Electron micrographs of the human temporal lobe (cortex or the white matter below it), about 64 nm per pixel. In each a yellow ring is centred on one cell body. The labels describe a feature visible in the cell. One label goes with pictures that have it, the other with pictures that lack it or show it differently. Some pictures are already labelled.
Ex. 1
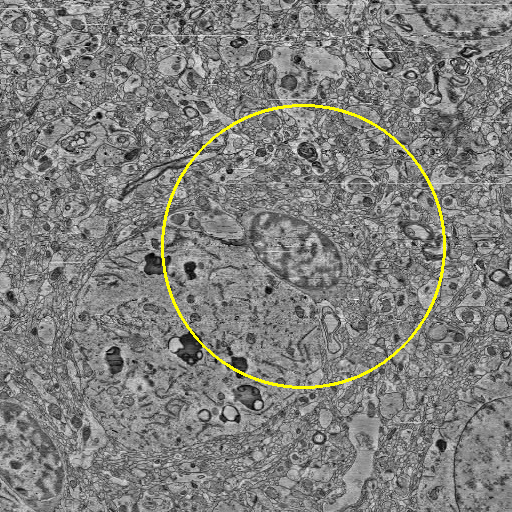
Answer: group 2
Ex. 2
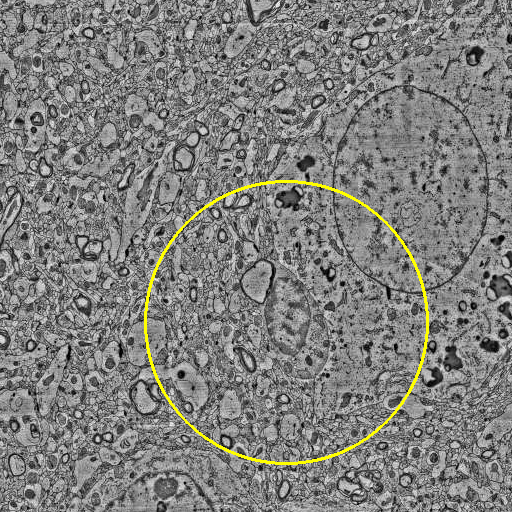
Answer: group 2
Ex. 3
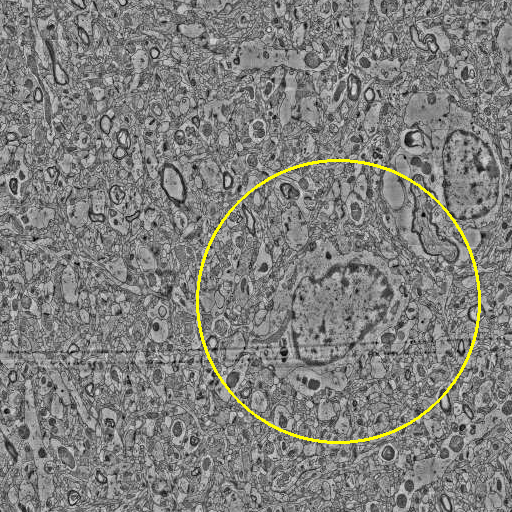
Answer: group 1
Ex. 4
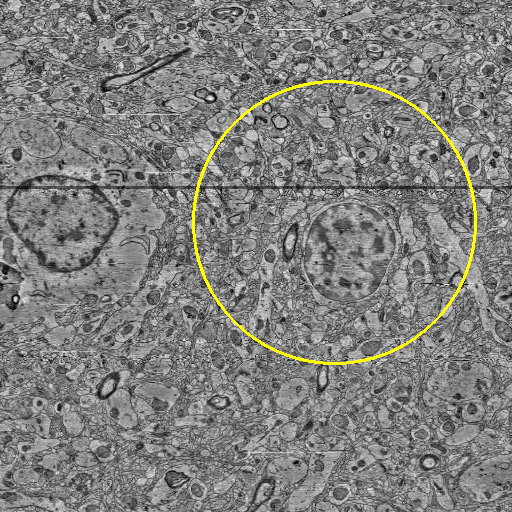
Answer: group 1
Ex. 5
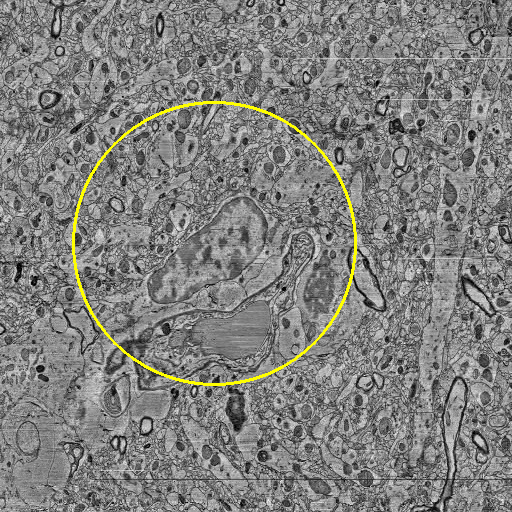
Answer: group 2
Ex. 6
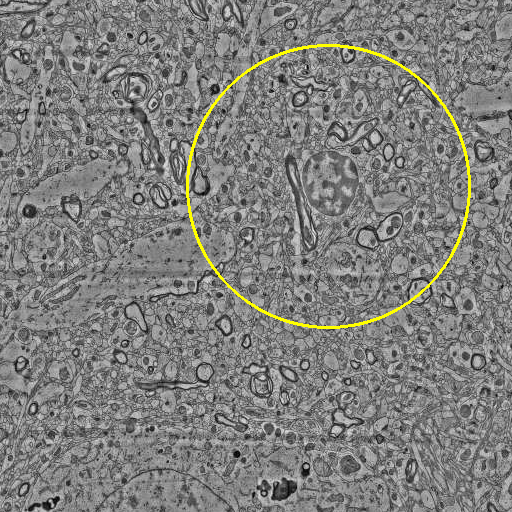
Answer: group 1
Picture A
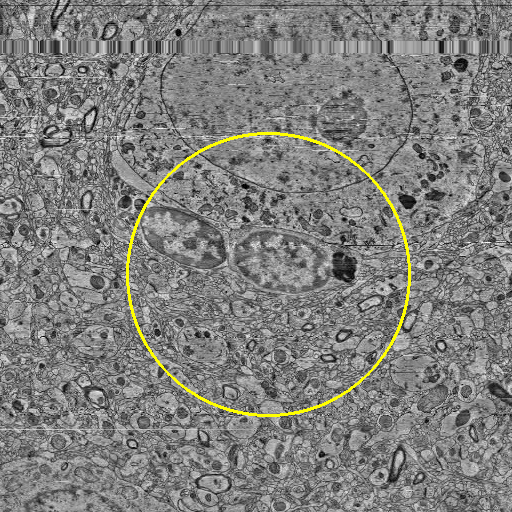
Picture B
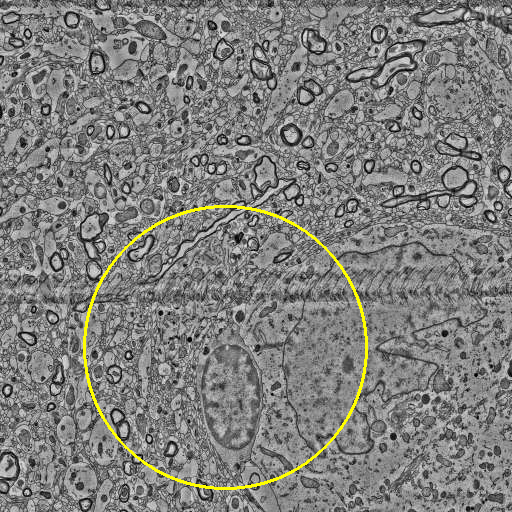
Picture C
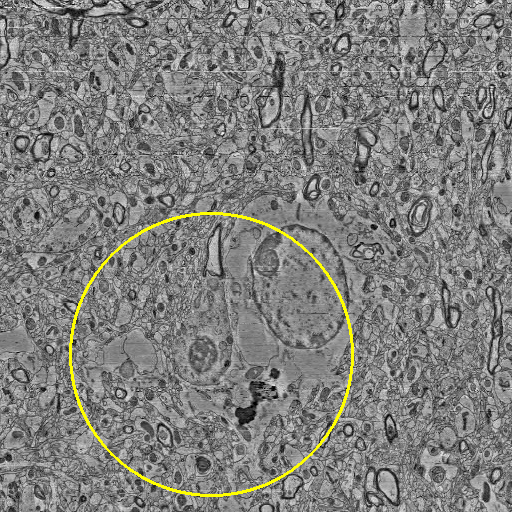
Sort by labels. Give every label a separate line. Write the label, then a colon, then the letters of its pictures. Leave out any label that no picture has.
group 2: A, B
group 1: C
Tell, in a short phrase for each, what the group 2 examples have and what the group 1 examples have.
Seen in group 2: clearly elongated nuclei; seen in group 1: round or nearly round nuclei.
